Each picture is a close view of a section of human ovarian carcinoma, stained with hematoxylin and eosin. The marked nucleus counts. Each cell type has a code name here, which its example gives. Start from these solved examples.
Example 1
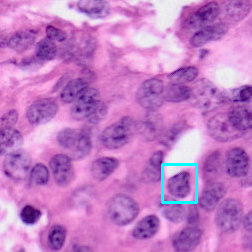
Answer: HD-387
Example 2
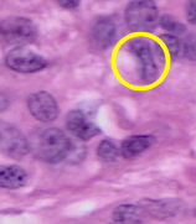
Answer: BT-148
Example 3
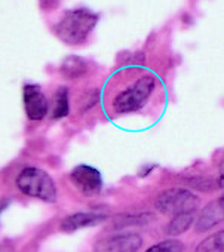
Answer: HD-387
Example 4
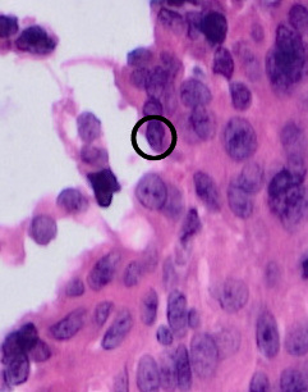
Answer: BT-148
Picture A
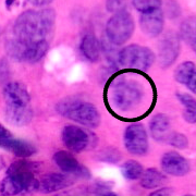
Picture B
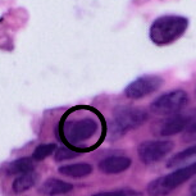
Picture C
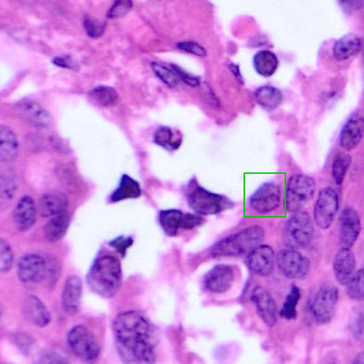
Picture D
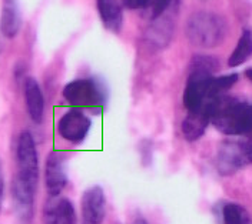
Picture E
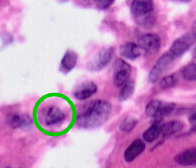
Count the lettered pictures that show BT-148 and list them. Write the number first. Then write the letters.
Count: 4 (A, B, C, D)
